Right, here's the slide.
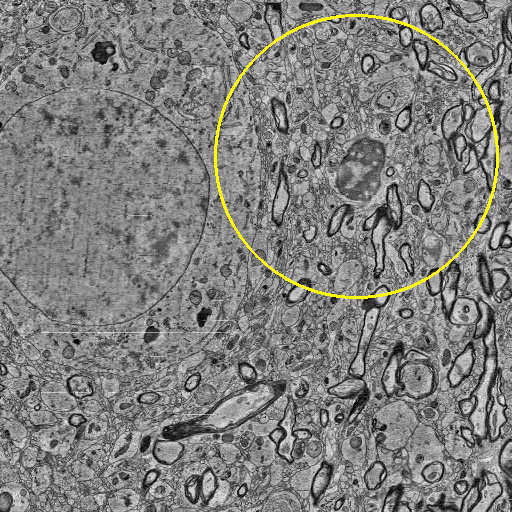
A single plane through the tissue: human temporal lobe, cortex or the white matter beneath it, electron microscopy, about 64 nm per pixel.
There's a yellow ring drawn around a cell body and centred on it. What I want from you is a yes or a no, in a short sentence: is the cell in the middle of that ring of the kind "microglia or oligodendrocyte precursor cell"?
Yes, it's of that kind.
